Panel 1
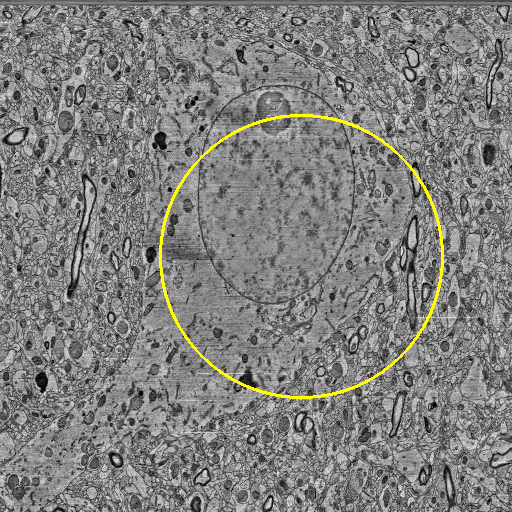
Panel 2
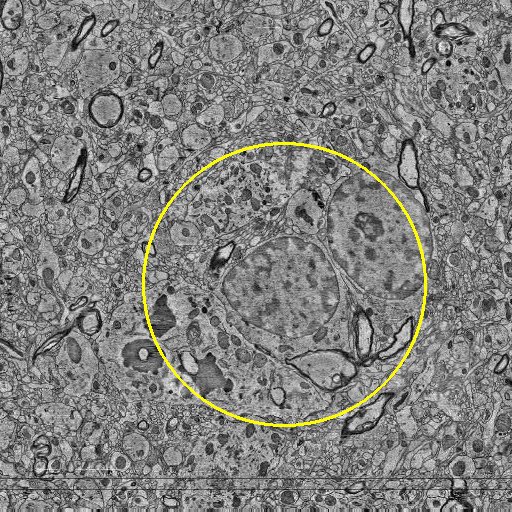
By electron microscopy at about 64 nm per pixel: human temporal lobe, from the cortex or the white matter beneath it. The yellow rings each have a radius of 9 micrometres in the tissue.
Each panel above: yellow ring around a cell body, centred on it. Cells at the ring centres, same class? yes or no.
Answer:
no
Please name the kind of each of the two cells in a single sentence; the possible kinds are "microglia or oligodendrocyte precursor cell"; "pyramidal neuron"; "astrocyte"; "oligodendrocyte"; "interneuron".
In the first picture the ring is centred on a pyramidal neuron, and in the second on an oligodendrocyte.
